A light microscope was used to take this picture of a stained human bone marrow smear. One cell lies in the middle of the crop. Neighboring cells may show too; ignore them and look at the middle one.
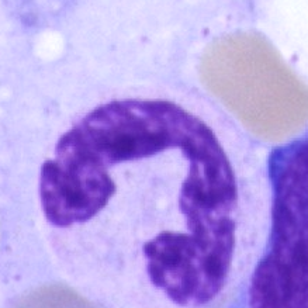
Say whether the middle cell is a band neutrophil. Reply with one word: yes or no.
no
